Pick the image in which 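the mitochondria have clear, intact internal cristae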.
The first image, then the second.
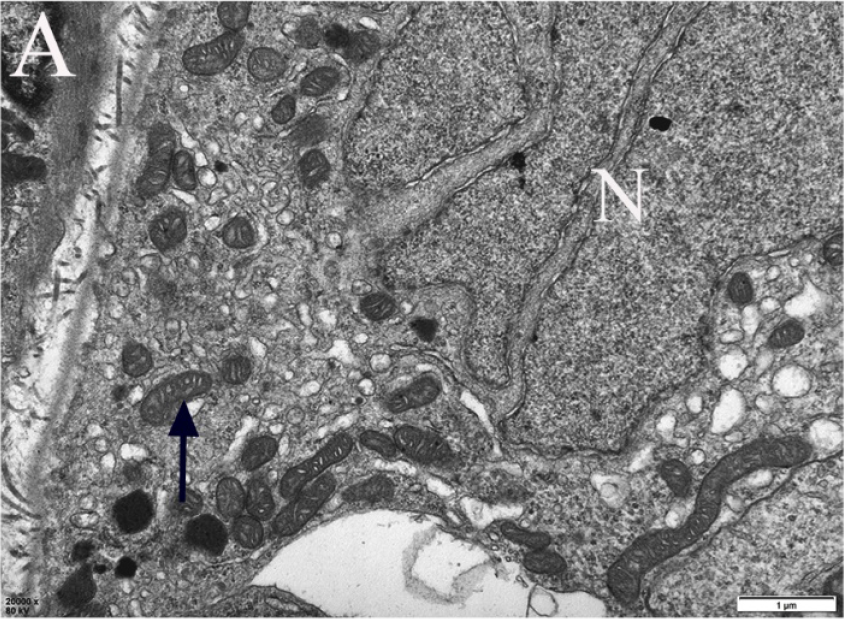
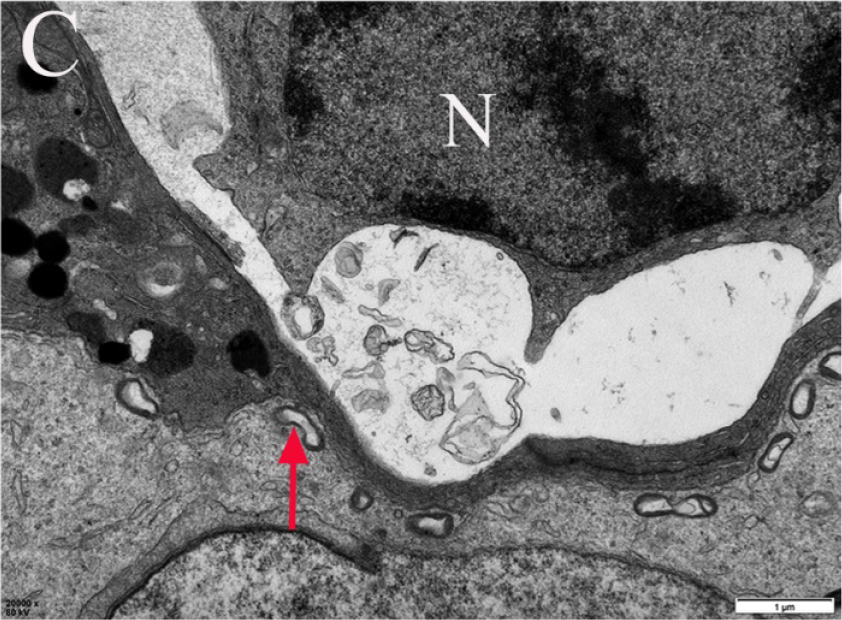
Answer: The first image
